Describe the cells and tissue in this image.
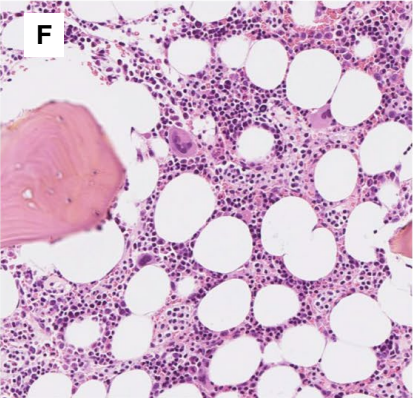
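This is bone marrow with a pink bony trabecula on the left and many round empty fat spaces. Between the fat spaces, the marrow is densely packed with small hematopoietic cells with dark round nuclei. A few large cells with abundant pink cytoplasm and lobulated nuclei, consistent with megakaryocytes, are scattered among them.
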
